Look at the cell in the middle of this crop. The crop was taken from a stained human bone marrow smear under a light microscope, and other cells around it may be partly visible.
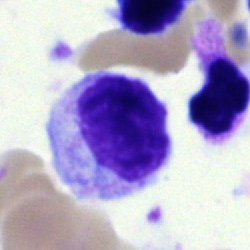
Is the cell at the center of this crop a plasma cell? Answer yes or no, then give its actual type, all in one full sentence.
No, the cell in the middle of the crop counts as a myelocyte and not as a plasma cell.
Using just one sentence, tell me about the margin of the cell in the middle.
Its surface contour is regular and smooth, without any protrusions.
